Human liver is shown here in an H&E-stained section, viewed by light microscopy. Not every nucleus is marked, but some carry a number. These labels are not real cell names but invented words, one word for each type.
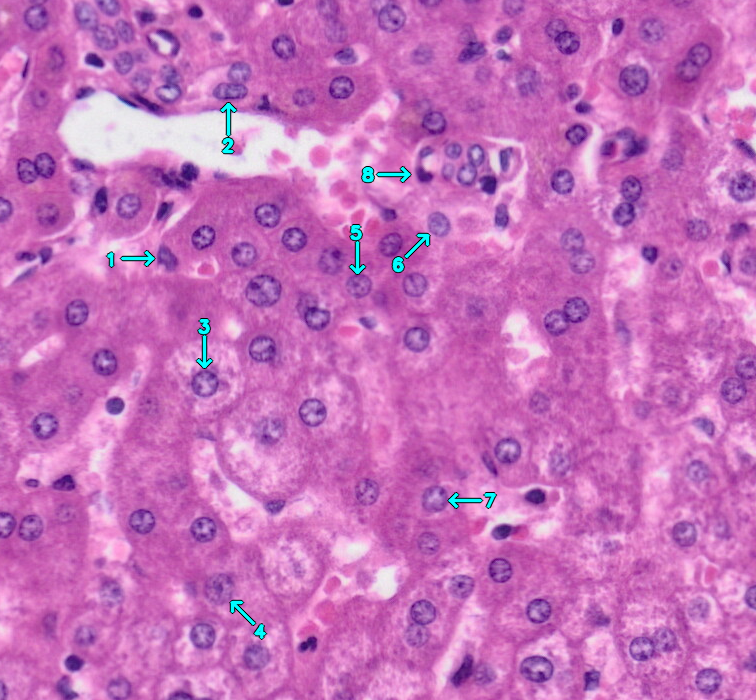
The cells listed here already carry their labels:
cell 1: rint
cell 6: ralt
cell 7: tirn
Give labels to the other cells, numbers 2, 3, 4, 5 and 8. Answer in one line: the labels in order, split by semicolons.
ralt; tirn; tirn; tirn; rint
